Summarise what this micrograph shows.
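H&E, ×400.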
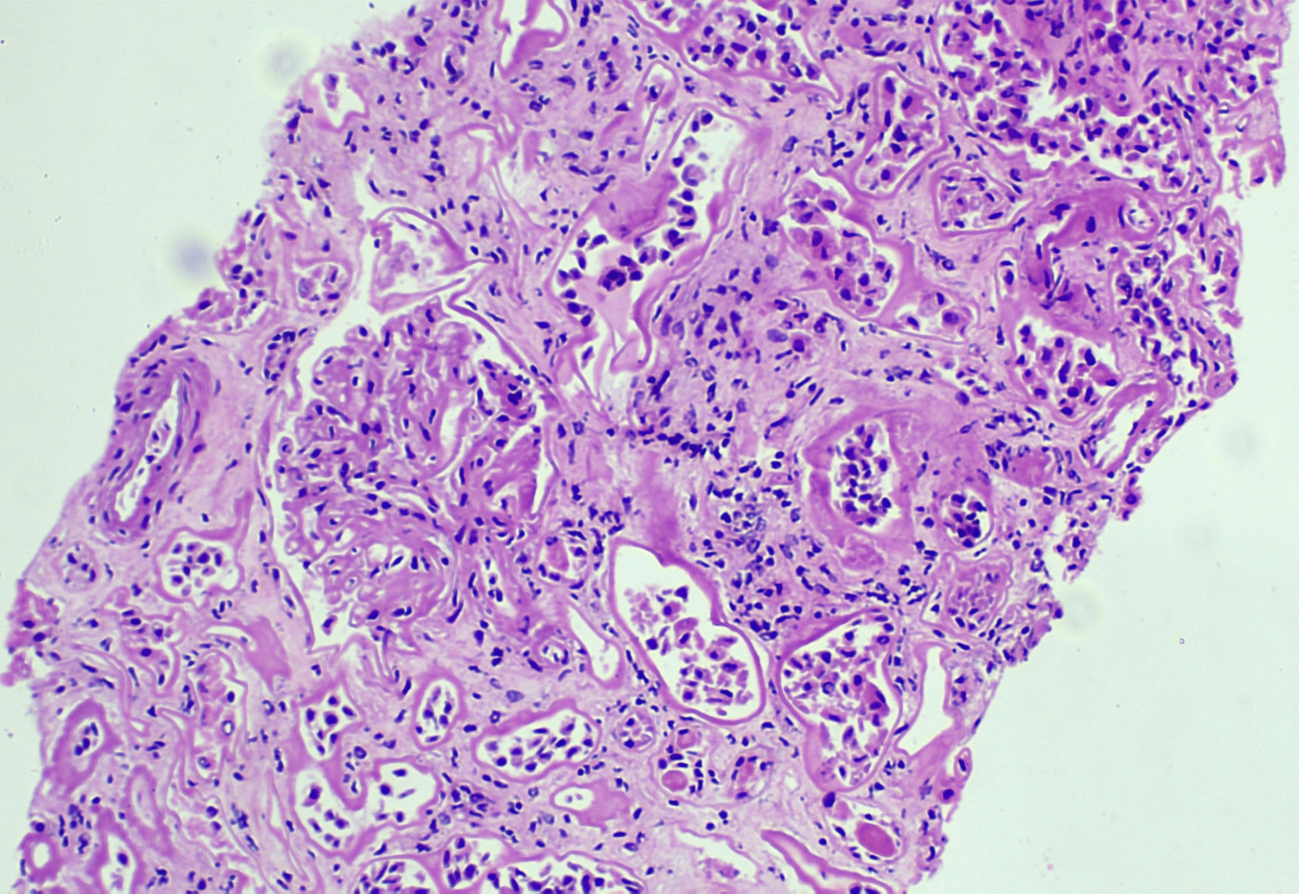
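Kidney tissue with a glomerulus left of centre, surrounded by tubules and interstitium. The interstitium is widened by pale pink fibrous material and holds scattered small dark round nuclei of inflammatory cells. Many tubules are damaged, with thickened pink basement membranes and detached epithelial cells lying free in their lumens.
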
